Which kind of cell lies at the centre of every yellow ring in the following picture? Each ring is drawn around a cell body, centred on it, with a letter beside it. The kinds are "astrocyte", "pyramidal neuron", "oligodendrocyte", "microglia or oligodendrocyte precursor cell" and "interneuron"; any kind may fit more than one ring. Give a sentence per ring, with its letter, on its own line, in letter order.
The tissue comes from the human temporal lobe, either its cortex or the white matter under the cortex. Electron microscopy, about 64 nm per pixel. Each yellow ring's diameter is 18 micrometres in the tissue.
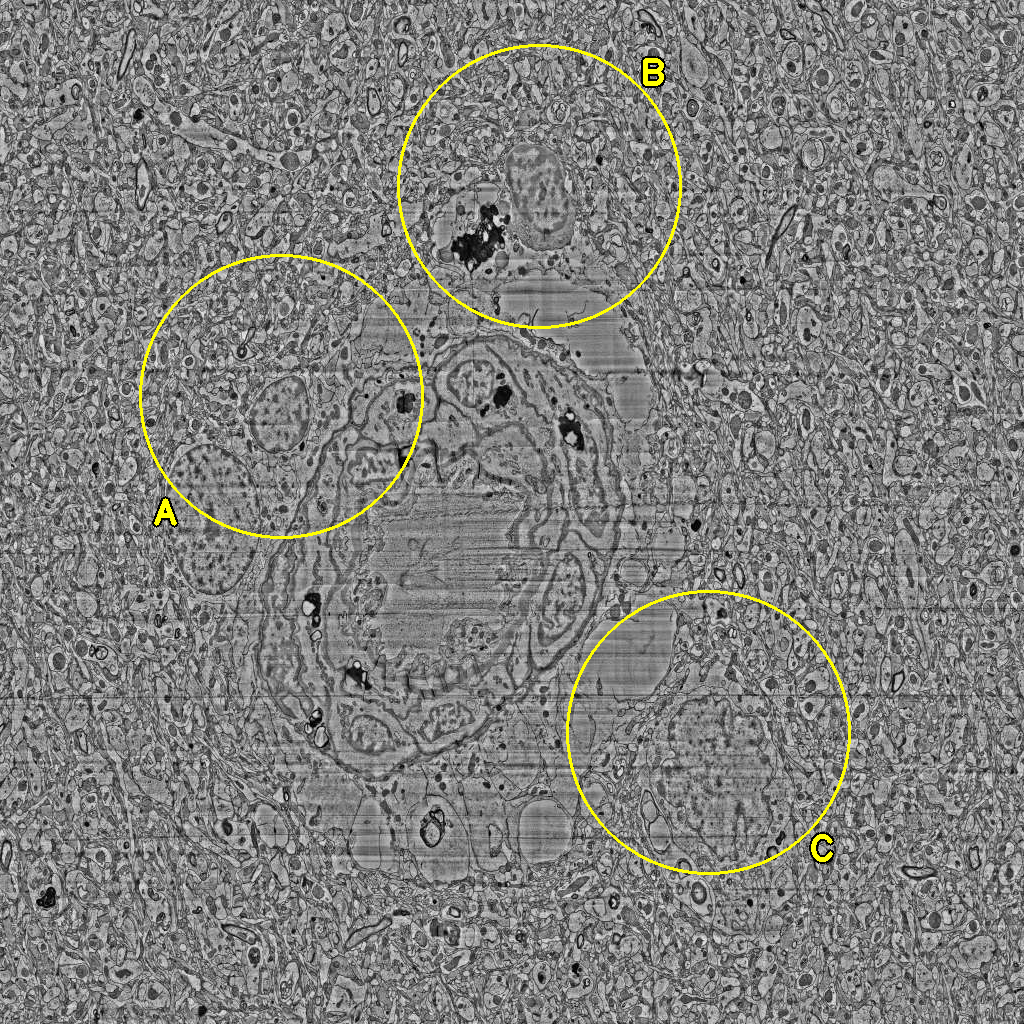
The cell body centred in ring A is that of a microglial cell or oligodendrocyte precursor cell.
The cell body centred in ring B is that of an oligodendrocyte.
The cell body centred in ring C is that of an interneuron.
